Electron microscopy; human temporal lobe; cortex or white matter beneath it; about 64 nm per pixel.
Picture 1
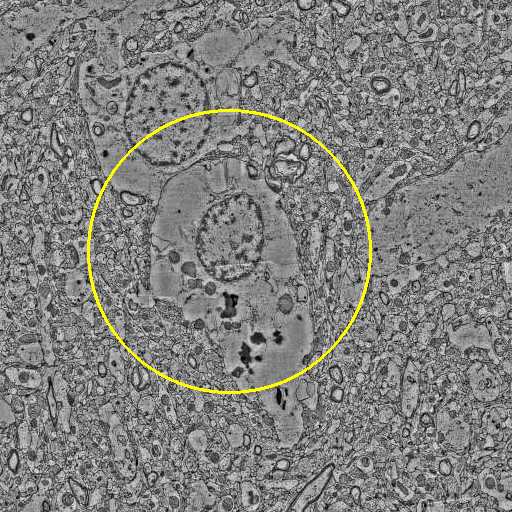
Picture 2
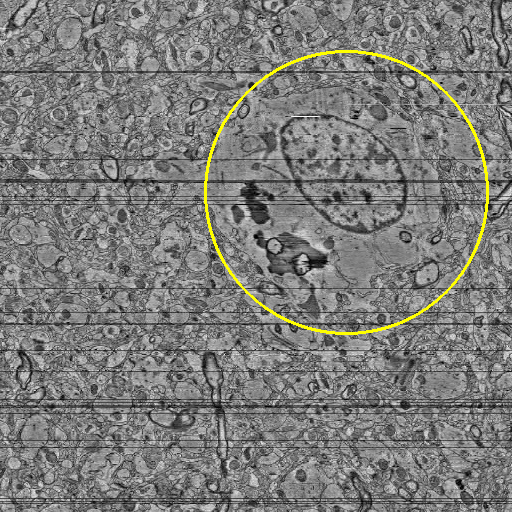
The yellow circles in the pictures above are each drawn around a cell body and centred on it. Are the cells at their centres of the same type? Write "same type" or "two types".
same type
